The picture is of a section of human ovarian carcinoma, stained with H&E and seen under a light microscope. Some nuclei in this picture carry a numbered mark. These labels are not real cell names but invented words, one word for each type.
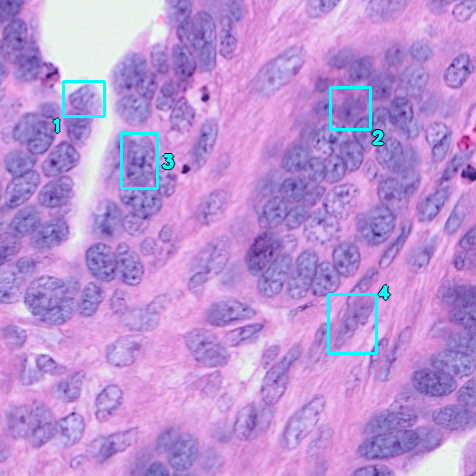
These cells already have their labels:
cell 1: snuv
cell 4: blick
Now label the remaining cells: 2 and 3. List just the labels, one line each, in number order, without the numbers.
snuv
snuv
